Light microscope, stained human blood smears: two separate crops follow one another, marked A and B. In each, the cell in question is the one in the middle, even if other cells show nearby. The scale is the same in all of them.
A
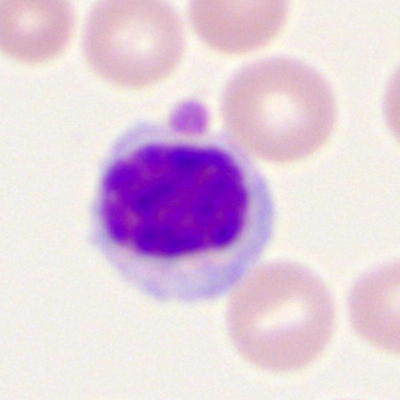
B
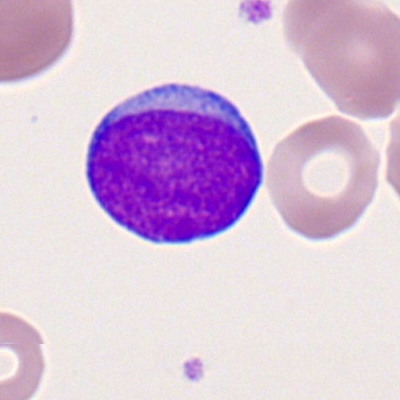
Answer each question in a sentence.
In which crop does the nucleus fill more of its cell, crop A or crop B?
It is the cell in crop B that is filled more by its nucleus.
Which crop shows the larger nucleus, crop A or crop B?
The nucleus in crop B is larger, with about 1.5 times the area of the one in crop A.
